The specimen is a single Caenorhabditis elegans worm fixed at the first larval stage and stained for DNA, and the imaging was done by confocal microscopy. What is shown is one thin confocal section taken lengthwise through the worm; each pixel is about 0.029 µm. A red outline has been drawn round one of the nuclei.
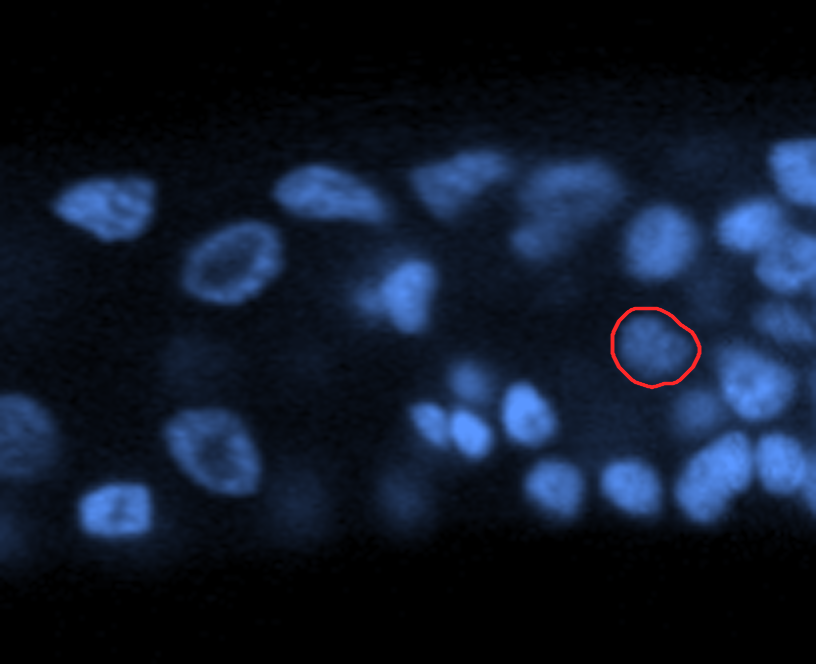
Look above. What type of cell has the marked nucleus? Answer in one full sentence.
It is the nucleus of a pharyngeal muscle cell.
